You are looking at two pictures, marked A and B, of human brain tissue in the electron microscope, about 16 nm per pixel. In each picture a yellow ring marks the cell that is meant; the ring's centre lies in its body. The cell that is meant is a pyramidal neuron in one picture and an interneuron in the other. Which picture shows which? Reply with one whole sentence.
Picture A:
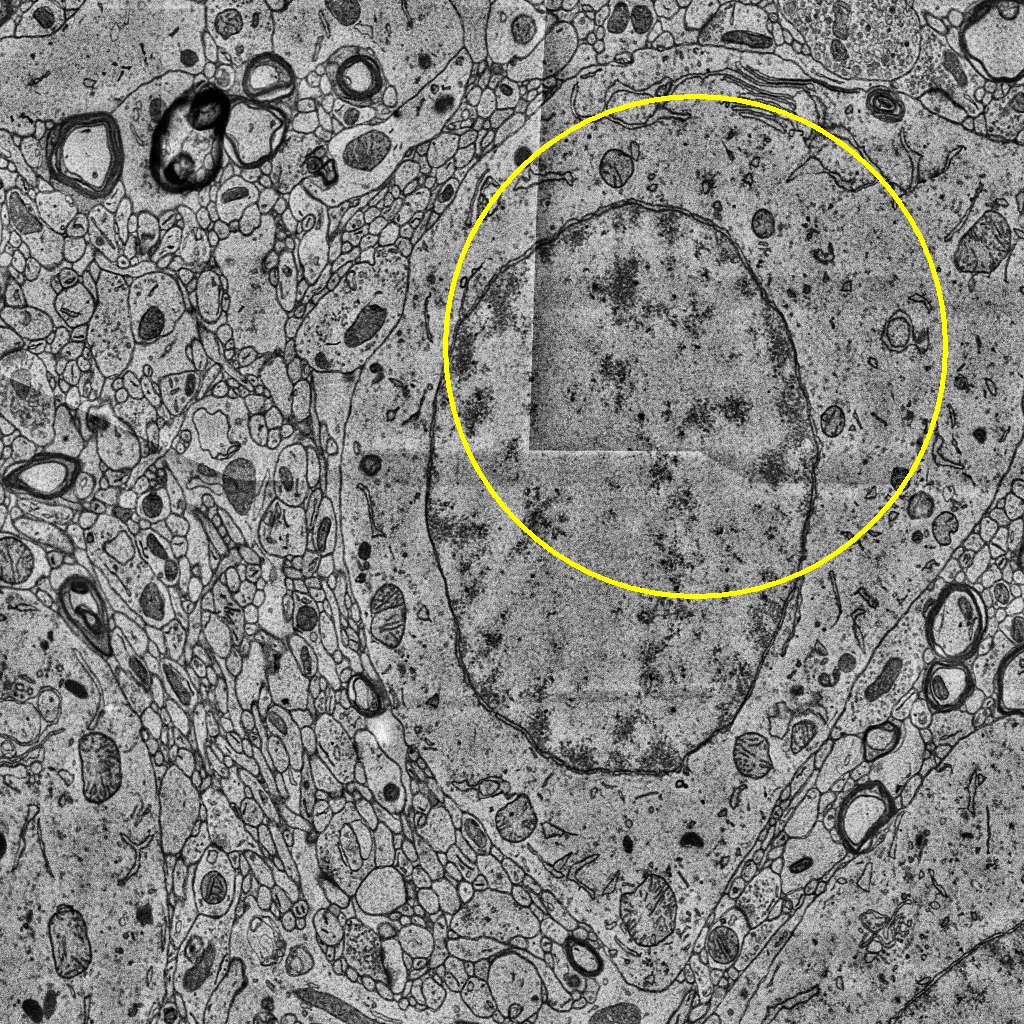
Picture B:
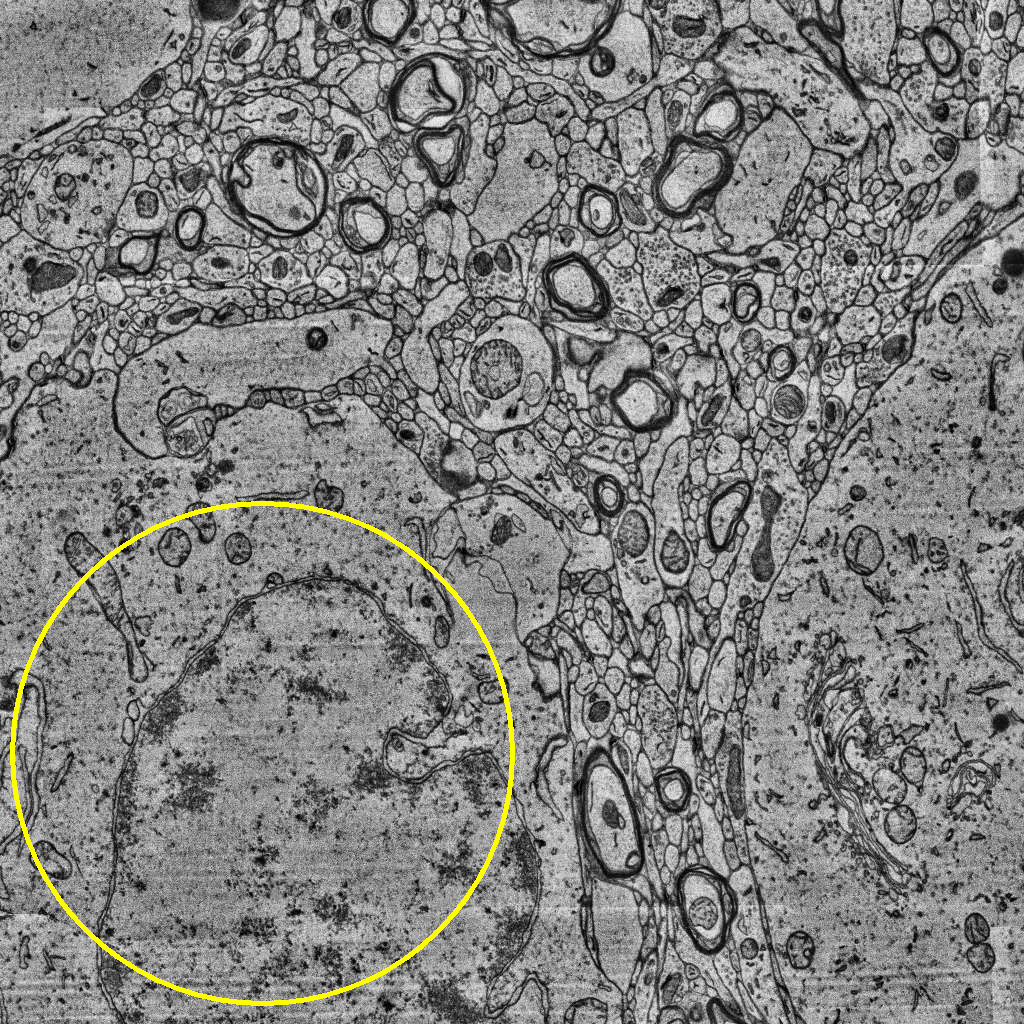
In picture A the cell is a pyramidal neuron; in picture B, an interneuron.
